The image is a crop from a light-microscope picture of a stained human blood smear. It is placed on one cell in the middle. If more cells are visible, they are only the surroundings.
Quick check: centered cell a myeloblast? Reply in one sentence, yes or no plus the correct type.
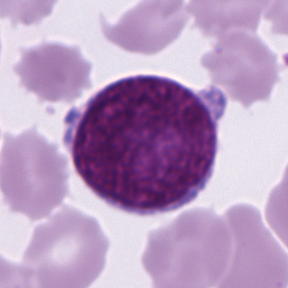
Yes, the cell that occupies the centre is a myeloblast.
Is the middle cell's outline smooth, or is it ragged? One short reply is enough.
The edge of the cell is broken up by ragged stretches or by outward projections.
